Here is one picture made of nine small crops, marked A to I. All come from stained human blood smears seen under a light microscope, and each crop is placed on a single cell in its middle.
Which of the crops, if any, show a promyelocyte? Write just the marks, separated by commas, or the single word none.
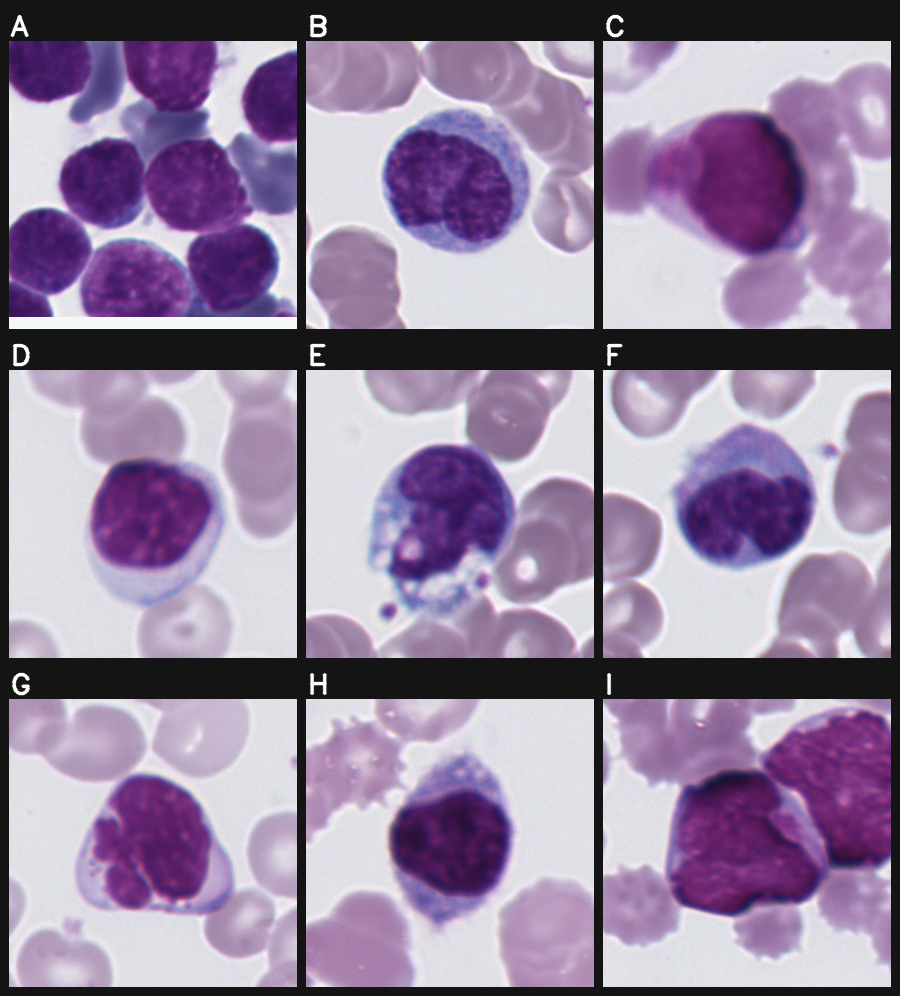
none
